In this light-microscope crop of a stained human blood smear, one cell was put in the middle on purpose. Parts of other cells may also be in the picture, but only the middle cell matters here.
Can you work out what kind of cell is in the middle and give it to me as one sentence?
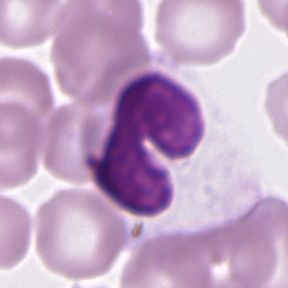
In this crop, the cell at the very middle is a segmented neutrophil.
